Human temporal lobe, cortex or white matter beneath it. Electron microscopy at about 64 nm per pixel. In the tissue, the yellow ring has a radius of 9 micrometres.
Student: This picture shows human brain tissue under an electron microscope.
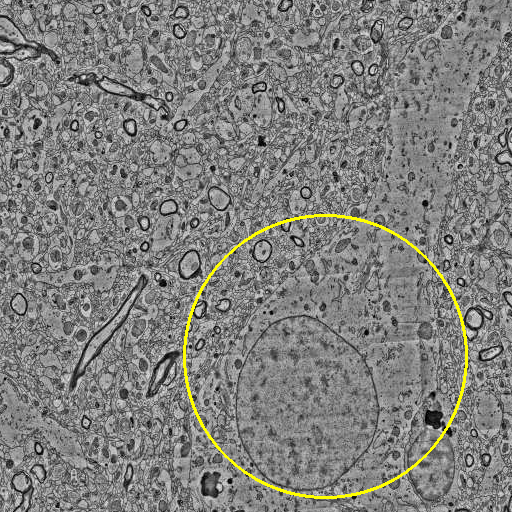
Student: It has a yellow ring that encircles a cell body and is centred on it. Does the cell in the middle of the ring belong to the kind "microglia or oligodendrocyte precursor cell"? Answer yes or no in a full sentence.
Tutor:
No, the cell in the middle of the ring in this picture is of another kind.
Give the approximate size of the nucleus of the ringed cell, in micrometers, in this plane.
The ringed cell's nucleus measures approximately 11 by 9 micrometres in this plane.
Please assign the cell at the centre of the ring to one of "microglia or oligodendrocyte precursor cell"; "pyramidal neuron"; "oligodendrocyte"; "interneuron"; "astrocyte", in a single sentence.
The cell that the ring is centred on is a pyramidal neuron.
